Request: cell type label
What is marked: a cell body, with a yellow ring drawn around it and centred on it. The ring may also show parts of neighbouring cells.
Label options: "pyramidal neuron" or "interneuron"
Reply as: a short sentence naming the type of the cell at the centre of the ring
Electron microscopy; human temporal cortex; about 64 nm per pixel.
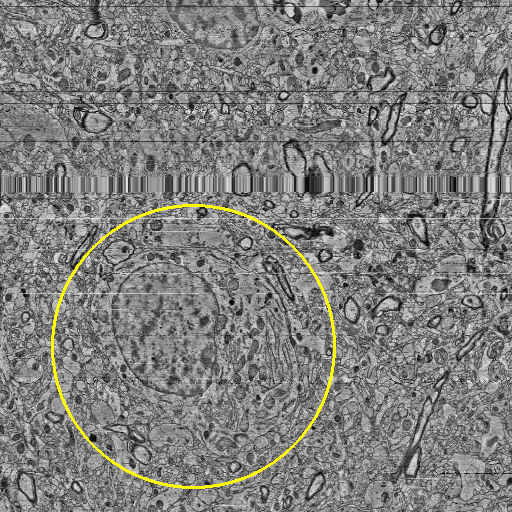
The marked cell body is that of an interneuron.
